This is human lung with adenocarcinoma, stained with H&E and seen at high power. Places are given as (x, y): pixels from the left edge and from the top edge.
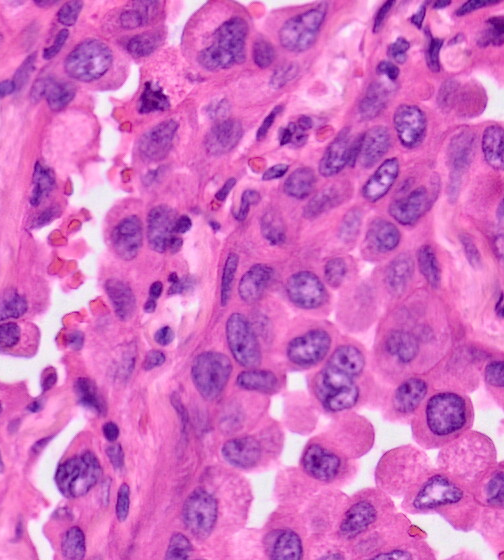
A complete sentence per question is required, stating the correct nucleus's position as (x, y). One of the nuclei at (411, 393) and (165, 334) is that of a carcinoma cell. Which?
The nucleus found at (411, 393) belongs to a carcinoma cell.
